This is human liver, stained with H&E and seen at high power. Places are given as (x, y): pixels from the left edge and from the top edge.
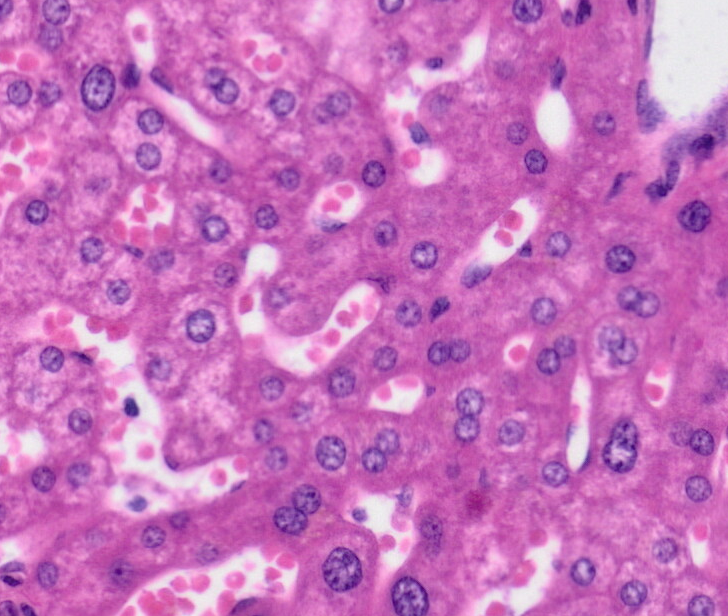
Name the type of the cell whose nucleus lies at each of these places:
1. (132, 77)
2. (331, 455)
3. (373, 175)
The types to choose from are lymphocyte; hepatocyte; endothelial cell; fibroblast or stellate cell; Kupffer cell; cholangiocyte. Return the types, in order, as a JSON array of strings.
["fibroblast or stellate cell", "hepatocyte", "hepatocyte"]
